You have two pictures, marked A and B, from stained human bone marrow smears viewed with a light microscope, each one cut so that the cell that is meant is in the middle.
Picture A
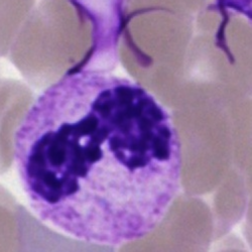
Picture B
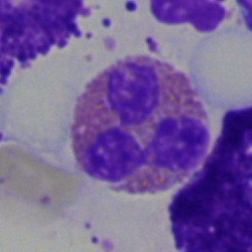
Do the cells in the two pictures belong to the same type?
no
